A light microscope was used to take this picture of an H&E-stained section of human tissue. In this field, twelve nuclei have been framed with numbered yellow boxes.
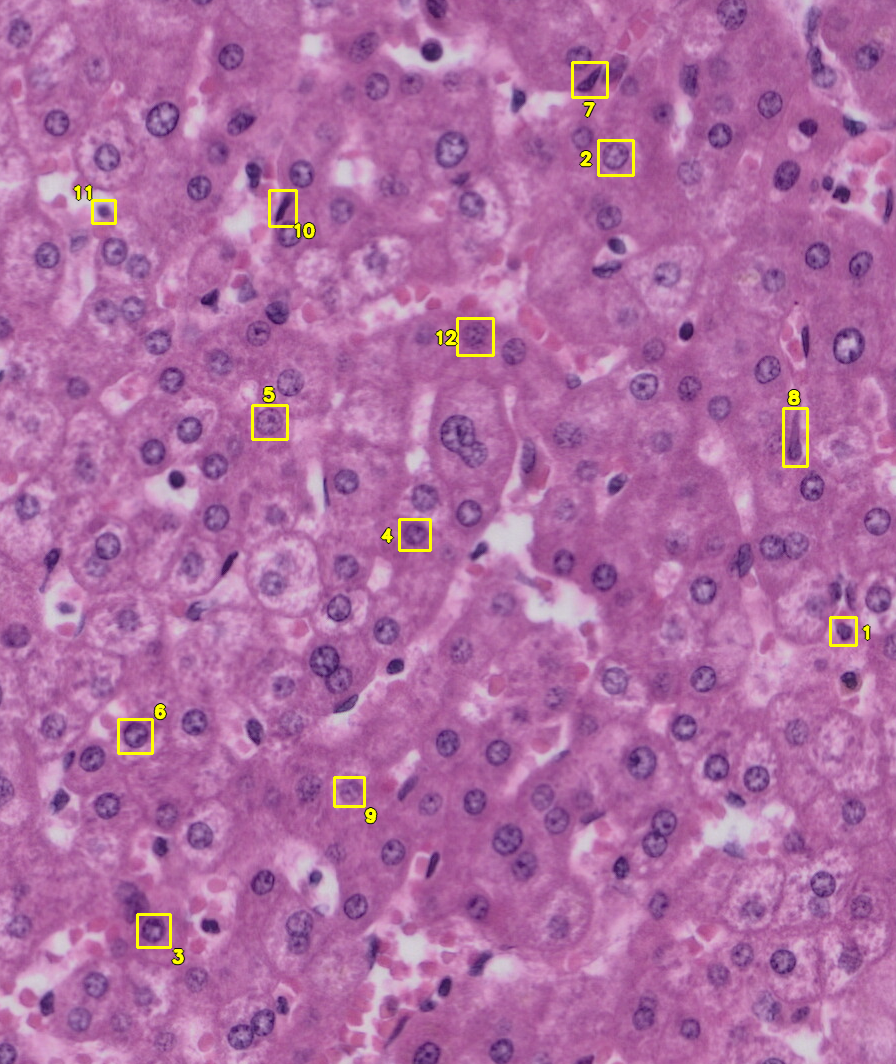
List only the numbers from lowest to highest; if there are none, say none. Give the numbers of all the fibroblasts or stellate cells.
7, 10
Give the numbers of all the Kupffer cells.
8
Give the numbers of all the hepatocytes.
2, 3, 4, 5, 6, 9, 12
